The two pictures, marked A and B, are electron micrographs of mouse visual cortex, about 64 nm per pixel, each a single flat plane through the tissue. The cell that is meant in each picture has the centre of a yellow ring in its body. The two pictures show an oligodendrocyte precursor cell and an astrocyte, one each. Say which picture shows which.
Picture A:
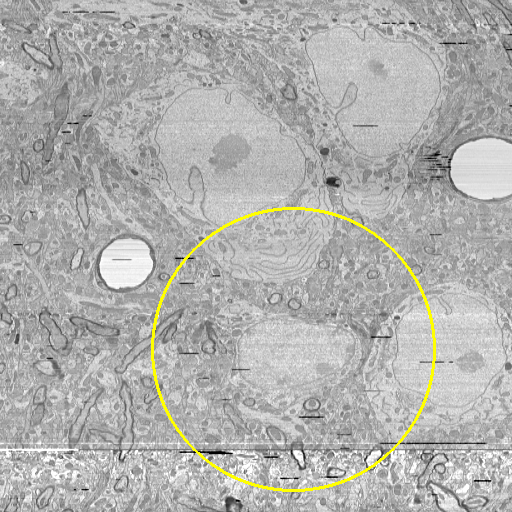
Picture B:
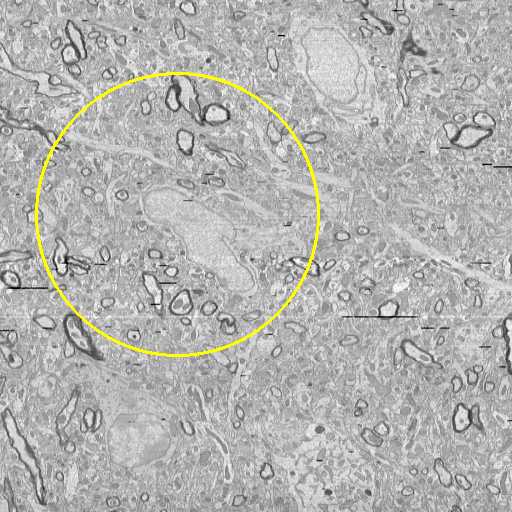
Picture B shows an oligodendrocyte precursor cell, while picture A shows an astrocyte.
